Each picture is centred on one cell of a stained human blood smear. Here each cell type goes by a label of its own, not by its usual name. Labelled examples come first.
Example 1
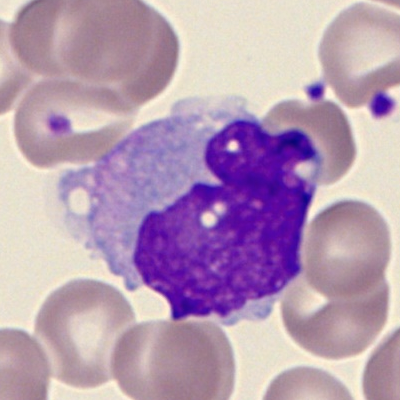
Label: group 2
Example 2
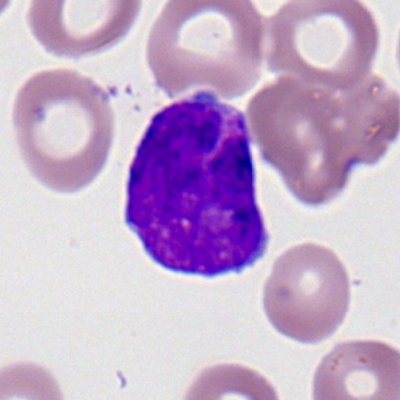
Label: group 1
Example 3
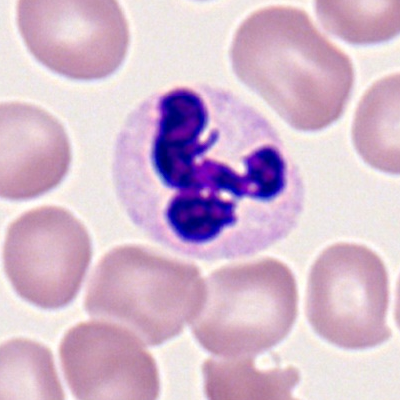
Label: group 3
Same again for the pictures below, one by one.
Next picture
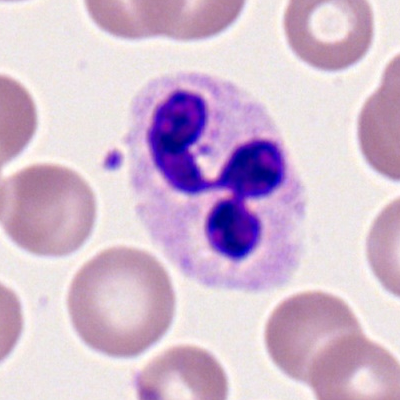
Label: group 3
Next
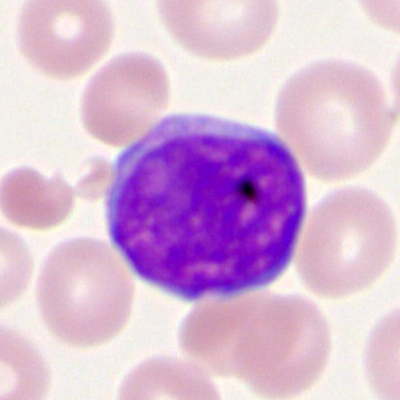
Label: group 1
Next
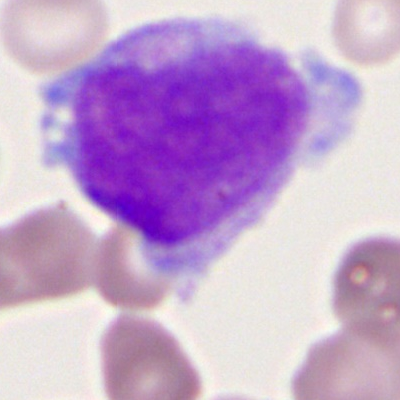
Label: group 2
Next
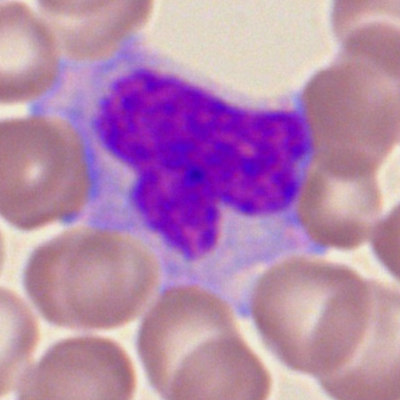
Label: group 2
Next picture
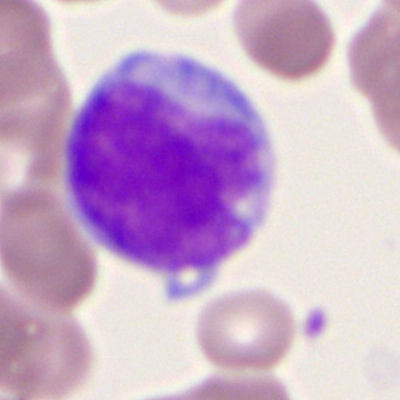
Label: group 1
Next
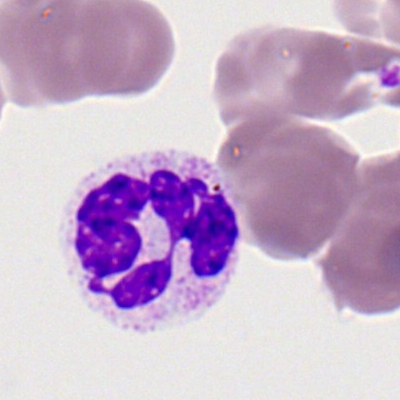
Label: group 3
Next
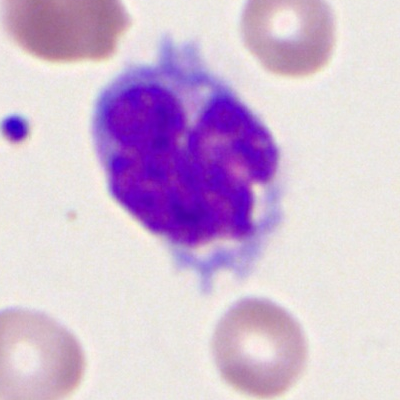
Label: group 2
